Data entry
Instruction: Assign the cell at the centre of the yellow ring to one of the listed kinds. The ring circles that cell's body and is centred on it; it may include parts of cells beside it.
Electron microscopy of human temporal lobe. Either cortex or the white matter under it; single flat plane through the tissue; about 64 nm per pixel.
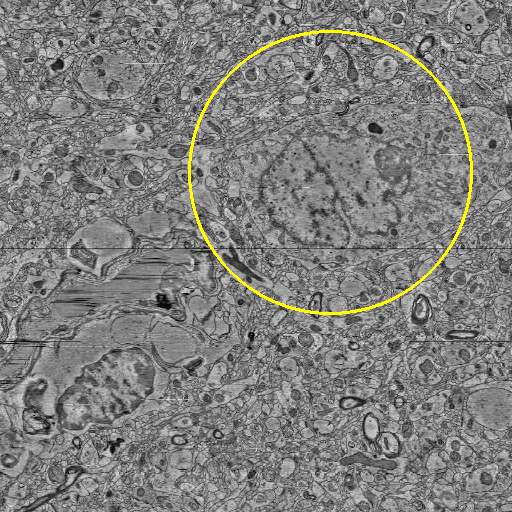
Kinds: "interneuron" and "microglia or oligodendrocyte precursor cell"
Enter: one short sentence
The centre of the ring falls on an interneuron.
